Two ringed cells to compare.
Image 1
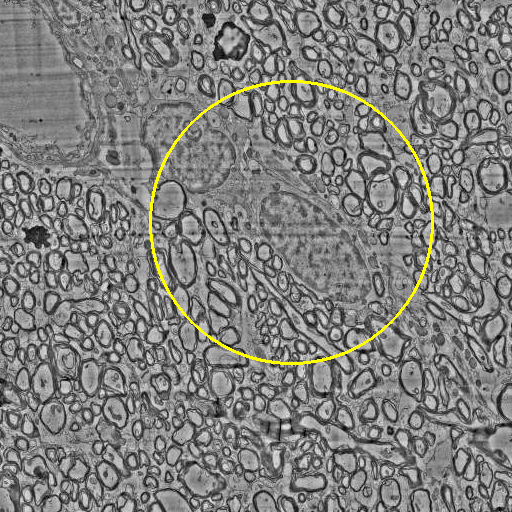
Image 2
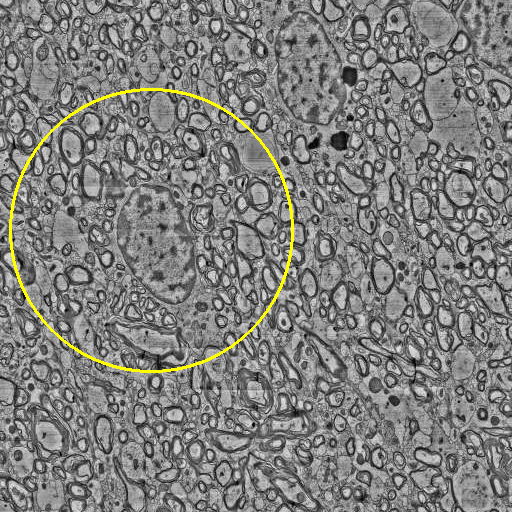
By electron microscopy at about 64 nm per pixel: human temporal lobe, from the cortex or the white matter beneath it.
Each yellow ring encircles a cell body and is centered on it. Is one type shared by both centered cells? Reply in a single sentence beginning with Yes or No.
Yes, a single type is shared by the two cells at the centers of the rings.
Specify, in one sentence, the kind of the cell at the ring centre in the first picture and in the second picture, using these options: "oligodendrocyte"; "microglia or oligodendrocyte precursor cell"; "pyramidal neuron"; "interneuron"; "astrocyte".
Both cells are the same kind, each one being an oligodendrocyte.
